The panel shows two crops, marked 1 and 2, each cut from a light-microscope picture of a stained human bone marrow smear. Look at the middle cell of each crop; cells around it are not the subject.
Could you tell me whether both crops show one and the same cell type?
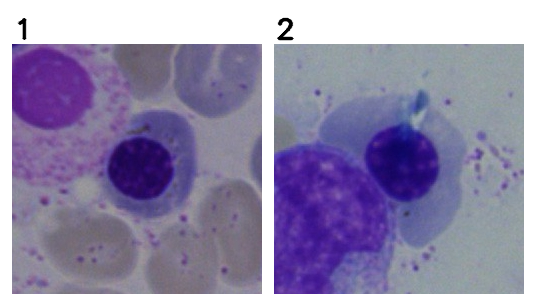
yes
